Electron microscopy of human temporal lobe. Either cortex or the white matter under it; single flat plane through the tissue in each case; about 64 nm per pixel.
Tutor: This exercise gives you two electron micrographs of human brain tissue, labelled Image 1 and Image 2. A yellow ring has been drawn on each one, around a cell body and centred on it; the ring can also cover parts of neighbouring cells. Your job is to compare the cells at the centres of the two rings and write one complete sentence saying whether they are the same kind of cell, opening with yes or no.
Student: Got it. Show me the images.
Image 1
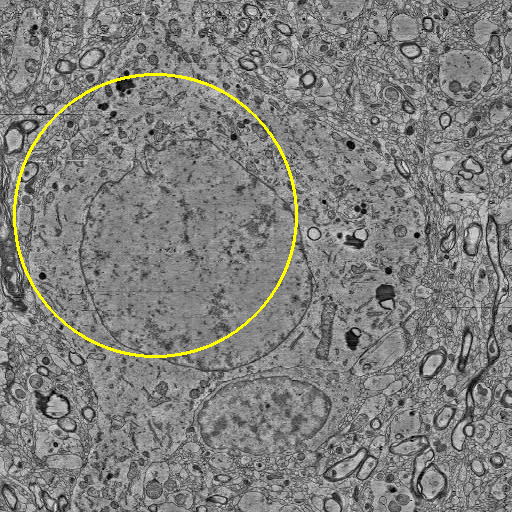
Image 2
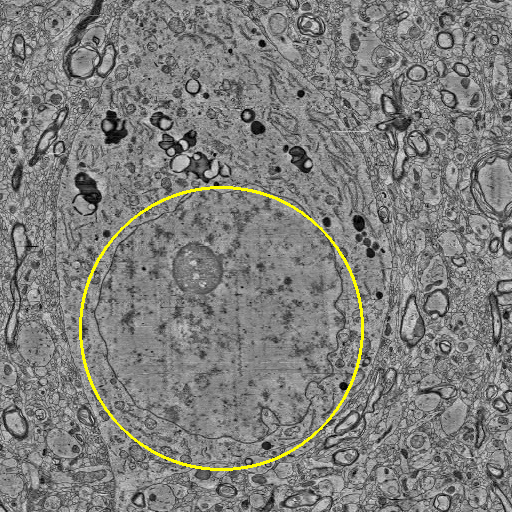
Yes, the two cells belong to the same kind.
